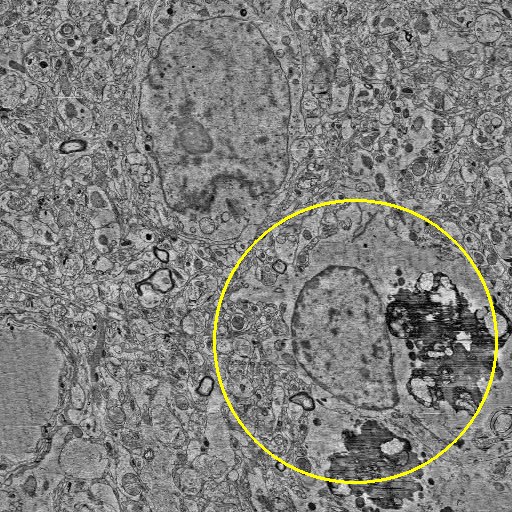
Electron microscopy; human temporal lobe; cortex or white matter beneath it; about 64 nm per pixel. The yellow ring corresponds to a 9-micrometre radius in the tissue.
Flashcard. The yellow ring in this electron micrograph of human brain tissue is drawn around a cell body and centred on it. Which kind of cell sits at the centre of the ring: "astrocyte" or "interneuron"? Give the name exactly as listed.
astrocyte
